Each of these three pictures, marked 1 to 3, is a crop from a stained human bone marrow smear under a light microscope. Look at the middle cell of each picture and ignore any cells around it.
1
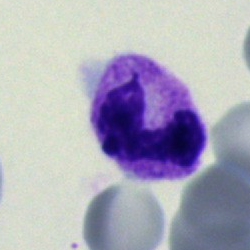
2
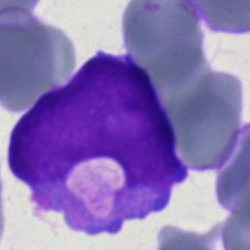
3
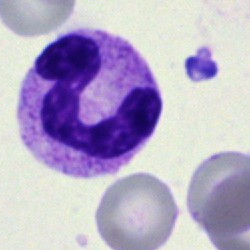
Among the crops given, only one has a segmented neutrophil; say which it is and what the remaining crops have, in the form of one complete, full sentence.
In the set, crop 3 shows a segmented neutrophil, whereas crop 1 is a band neutrophil and crop 2 is a blast.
